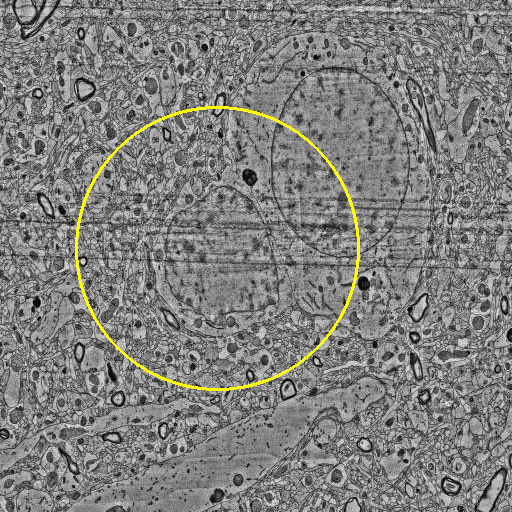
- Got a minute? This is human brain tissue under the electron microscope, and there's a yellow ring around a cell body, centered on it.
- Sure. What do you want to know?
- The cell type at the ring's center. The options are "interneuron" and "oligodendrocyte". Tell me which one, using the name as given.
interneuron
